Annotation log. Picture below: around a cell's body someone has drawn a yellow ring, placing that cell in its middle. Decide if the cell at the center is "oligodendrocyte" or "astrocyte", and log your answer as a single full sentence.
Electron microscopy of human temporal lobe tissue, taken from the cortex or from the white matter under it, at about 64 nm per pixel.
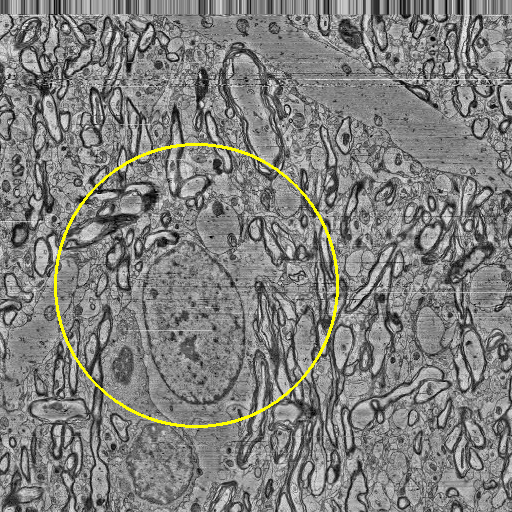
My entry records an astrocyte as the cell sitting at the center of the yellow ring.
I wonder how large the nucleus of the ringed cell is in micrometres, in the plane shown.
About 11 by 6 micrometers in this plane, so the nucleus is clearly longer than it is wide.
